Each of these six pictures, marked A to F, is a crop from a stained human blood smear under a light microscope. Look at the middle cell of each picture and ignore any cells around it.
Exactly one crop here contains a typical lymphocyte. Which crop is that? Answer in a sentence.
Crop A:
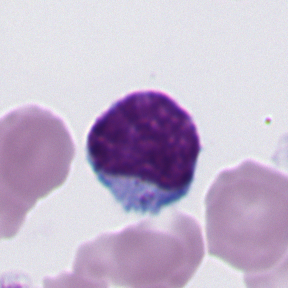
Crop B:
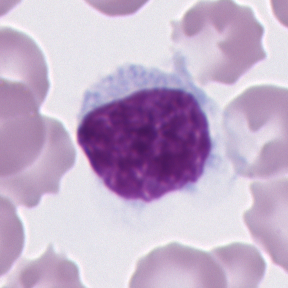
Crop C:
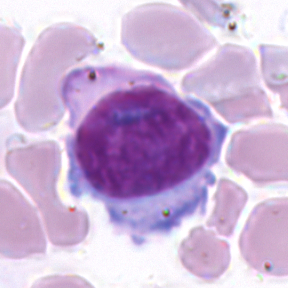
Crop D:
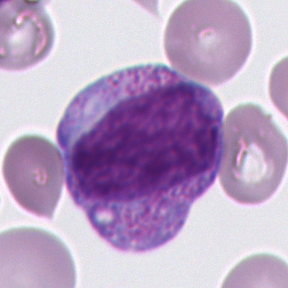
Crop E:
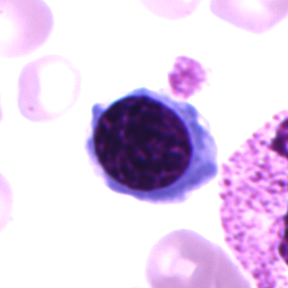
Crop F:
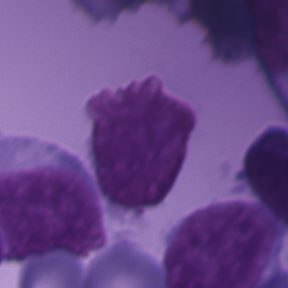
Crop A is identified as the crop showing a typical lymphocyte.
